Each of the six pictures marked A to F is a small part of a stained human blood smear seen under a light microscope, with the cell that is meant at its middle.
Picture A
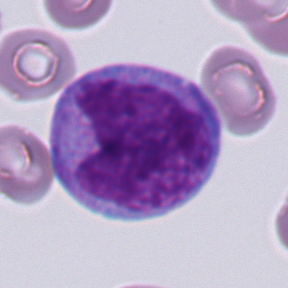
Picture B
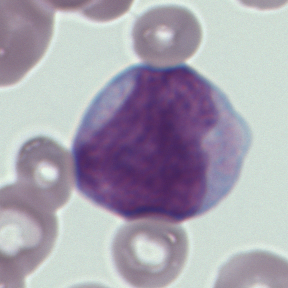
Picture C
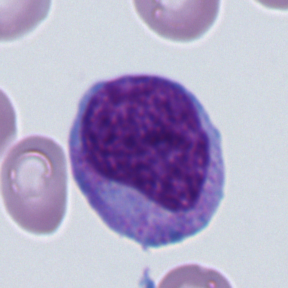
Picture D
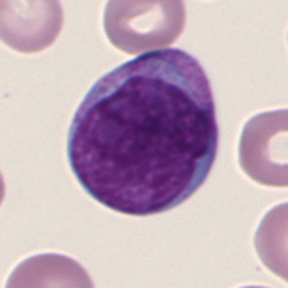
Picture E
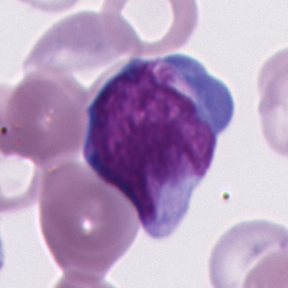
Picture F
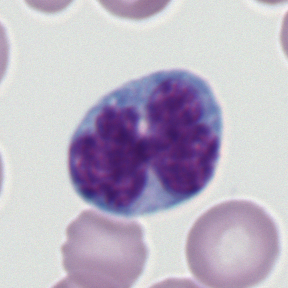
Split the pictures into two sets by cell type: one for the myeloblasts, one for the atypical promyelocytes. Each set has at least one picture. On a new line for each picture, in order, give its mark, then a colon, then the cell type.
A: atypical promyelocyte
B: atypical promyelocyte
C: atypical promyelocyte
D: atypical promyelocyte
E: myeloblast
F: myeloblast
